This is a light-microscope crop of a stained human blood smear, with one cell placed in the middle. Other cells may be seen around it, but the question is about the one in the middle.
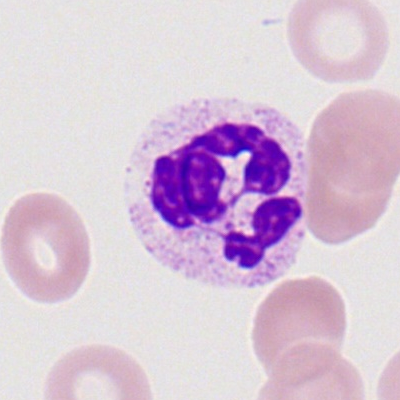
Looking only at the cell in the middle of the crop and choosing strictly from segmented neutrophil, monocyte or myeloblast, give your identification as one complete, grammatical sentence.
Occupying the centre of the crop is a segmented neutrophil.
